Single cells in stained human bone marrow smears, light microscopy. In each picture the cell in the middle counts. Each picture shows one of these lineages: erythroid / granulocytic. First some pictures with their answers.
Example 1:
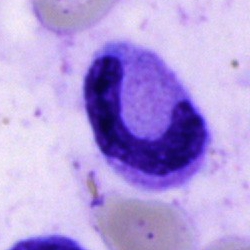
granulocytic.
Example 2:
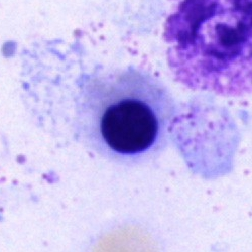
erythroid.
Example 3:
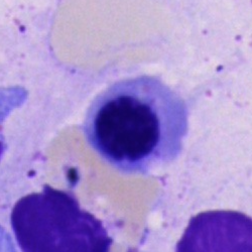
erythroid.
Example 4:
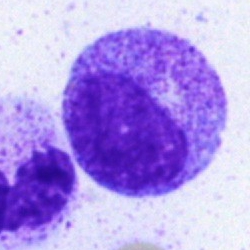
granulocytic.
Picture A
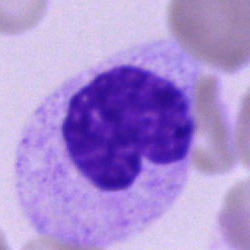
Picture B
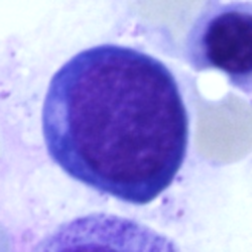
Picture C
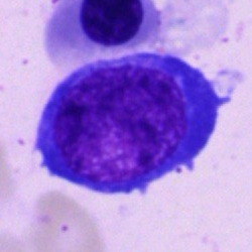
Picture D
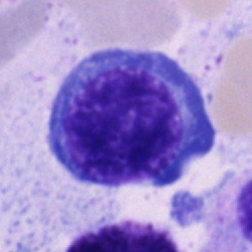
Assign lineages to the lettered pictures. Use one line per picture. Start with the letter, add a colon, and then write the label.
A: granulocytic.
B: erythroid.
C: erythroid.
D: erythroid.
